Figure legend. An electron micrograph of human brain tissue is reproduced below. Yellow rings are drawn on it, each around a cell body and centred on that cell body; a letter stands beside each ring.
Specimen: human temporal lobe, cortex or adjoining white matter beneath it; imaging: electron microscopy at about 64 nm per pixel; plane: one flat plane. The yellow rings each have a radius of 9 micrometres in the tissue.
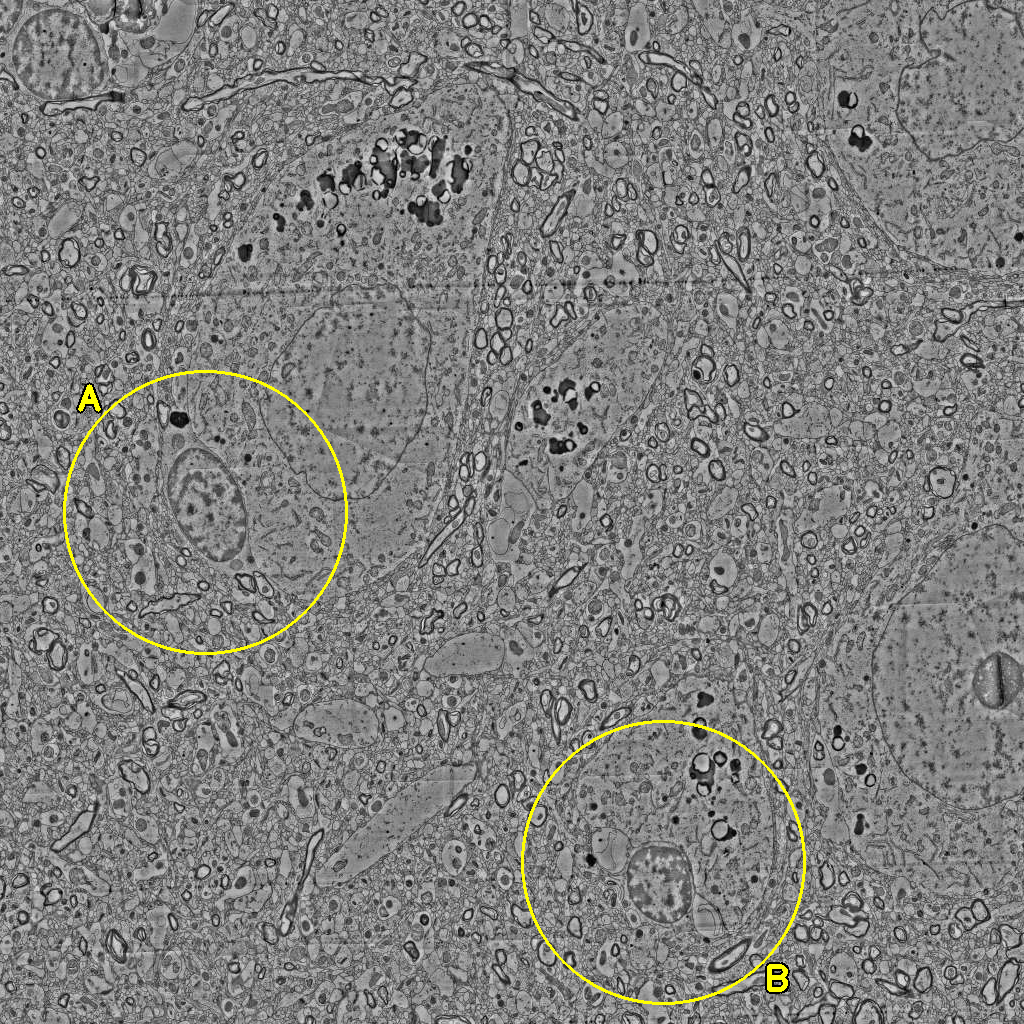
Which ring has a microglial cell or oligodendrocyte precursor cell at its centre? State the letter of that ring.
B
